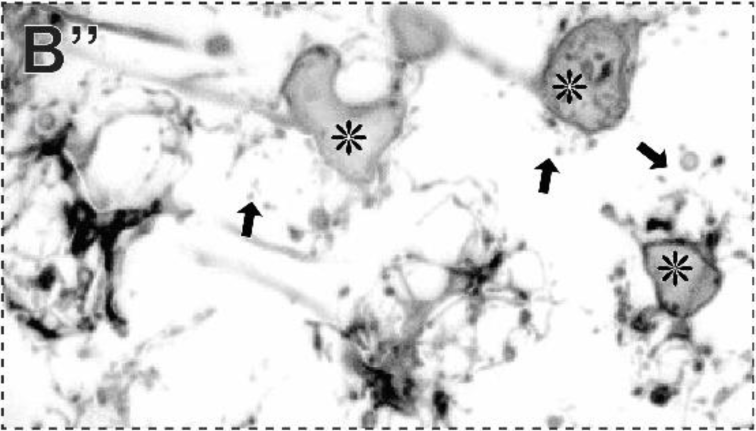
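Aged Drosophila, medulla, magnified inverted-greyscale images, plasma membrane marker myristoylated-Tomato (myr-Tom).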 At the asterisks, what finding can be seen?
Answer: swollen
